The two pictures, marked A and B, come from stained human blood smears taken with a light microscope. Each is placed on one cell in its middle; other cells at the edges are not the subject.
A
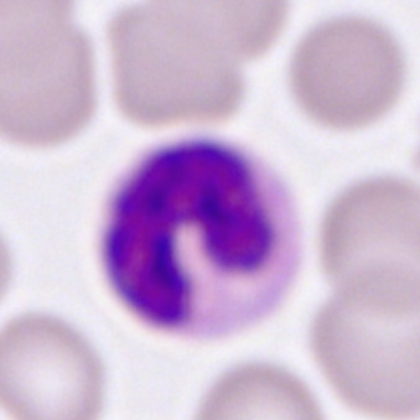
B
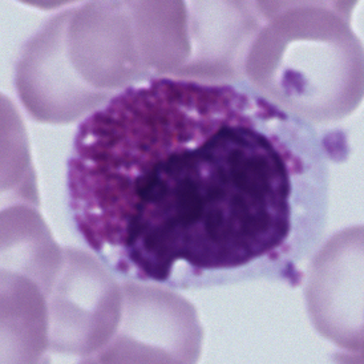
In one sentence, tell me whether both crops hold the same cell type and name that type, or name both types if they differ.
No, a band neutrophil is the cell in crop A; an eosinophil is the cell in crop B.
